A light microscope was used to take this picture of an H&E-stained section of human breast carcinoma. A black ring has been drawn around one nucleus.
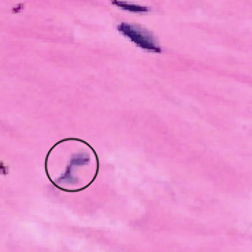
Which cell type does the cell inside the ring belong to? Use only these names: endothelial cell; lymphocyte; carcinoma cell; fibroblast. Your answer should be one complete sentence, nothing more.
Labelled by cell type, the cell inside the ring is a fibroblast.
